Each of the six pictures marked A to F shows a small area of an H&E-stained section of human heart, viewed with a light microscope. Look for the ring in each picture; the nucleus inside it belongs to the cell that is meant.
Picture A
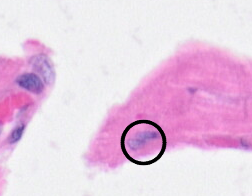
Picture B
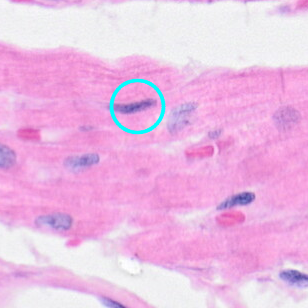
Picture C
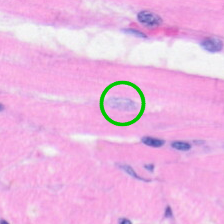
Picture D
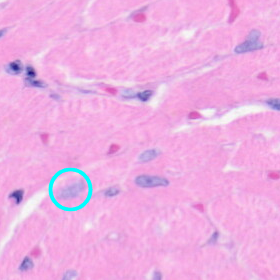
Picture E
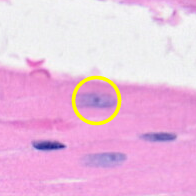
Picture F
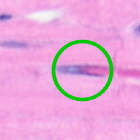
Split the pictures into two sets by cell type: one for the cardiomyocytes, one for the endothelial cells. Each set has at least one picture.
A: cardiomyocyte
B: endothelial cell
C: cardiomyocyte
D: cardiomyocyte
E: cardiomyocyte
F: endothelial cell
